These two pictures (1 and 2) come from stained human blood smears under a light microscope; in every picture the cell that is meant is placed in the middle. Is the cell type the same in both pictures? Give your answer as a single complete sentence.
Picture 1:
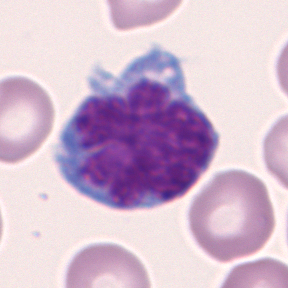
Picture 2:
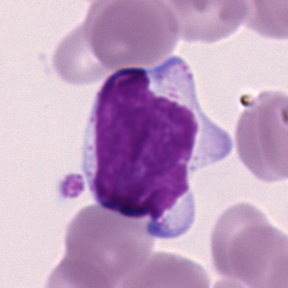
No. Picture 1 shows a myeloblast, but picture 2 shows a large granular lymphocyte.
